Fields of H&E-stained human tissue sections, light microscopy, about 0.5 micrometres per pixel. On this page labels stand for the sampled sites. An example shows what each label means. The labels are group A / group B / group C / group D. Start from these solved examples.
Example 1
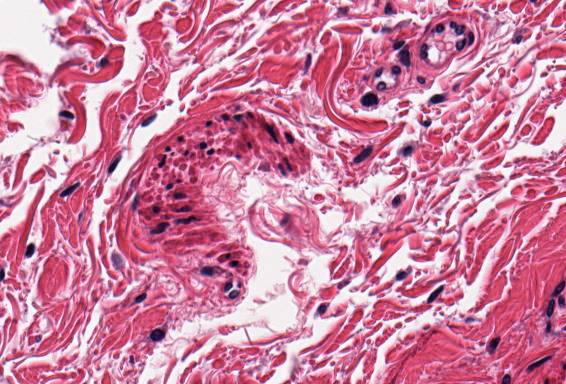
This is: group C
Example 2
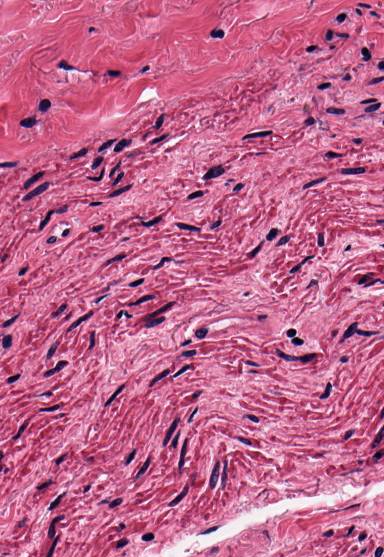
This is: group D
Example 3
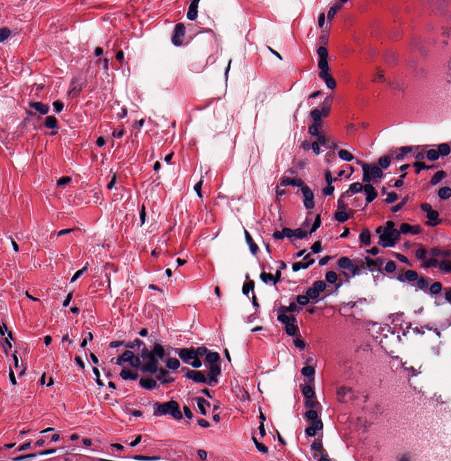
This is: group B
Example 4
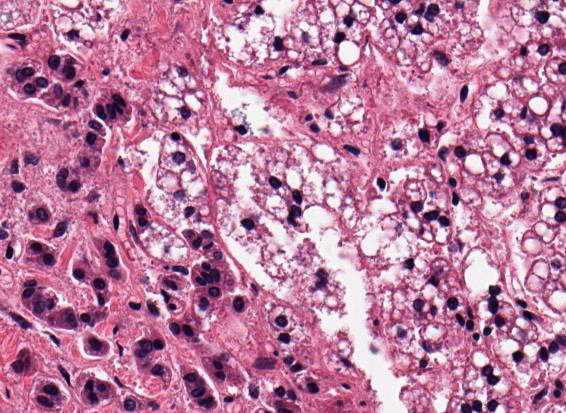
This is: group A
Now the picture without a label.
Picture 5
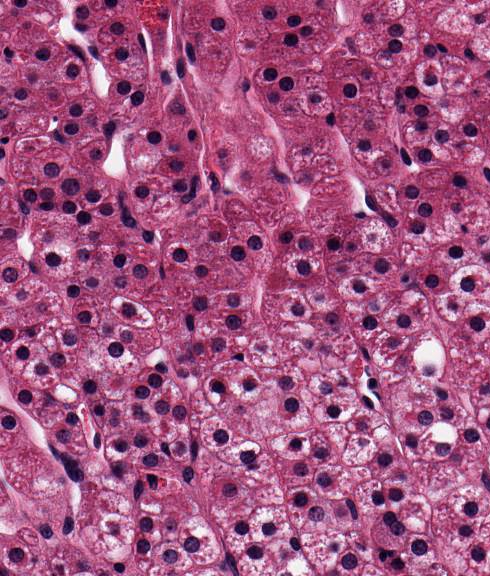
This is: group A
